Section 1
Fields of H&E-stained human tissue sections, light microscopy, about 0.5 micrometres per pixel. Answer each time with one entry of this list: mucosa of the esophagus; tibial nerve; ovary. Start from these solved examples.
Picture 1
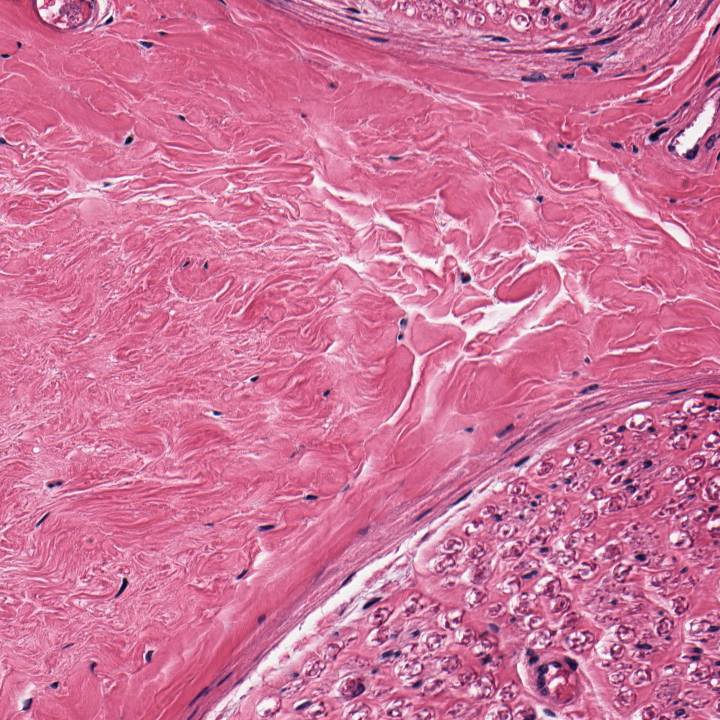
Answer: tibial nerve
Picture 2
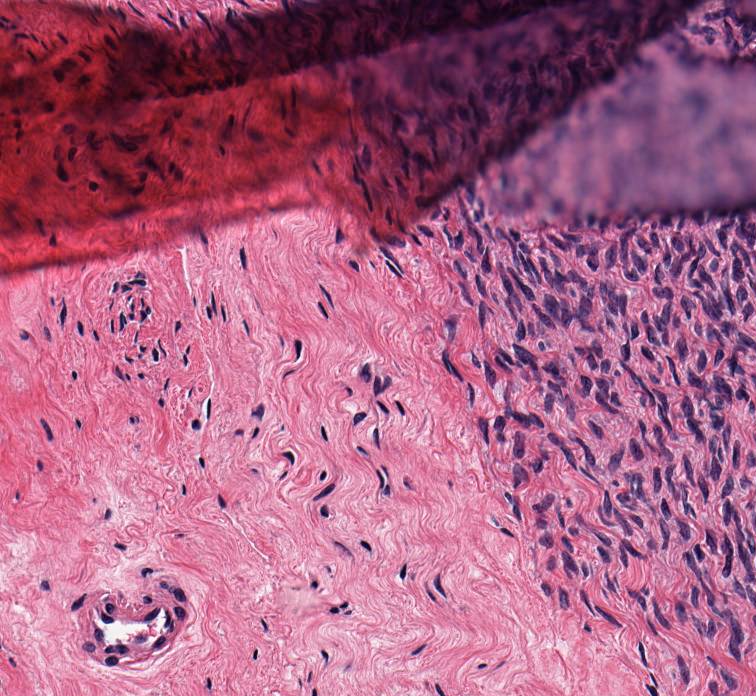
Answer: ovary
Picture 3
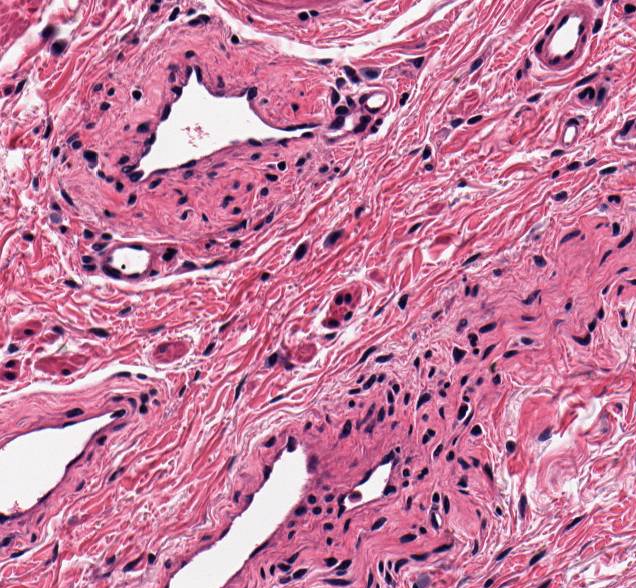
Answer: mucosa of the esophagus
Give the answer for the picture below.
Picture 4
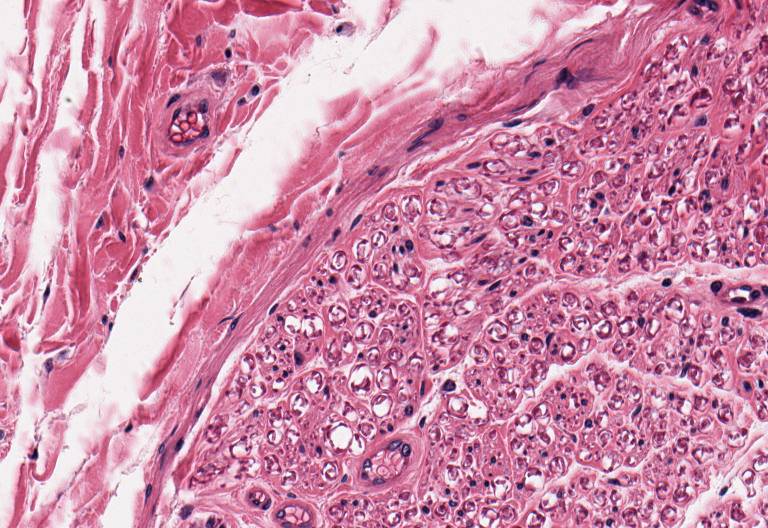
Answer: tibial nerve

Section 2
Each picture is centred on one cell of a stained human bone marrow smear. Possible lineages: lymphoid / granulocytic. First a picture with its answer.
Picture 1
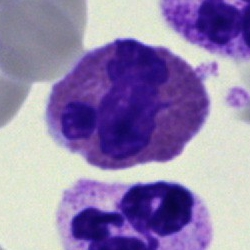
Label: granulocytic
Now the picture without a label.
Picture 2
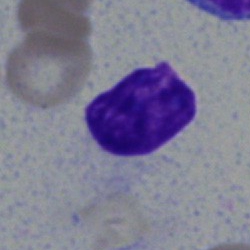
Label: lymphoid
